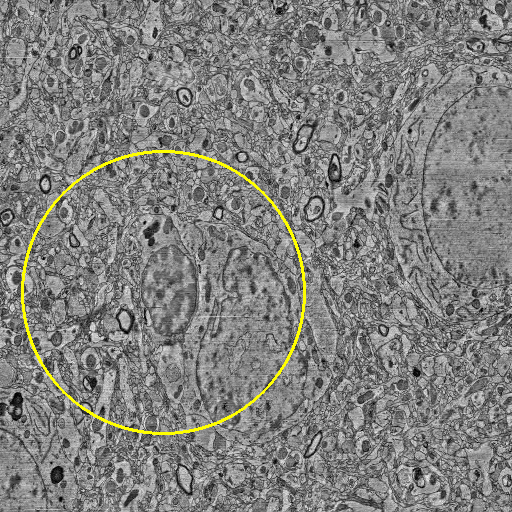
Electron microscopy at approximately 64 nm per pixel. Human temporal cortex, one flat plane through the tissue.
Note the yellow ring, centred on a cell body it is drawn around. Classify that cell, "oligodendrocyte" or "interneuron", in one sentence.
The cell the ring is centred on is an oligodendrocyte.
